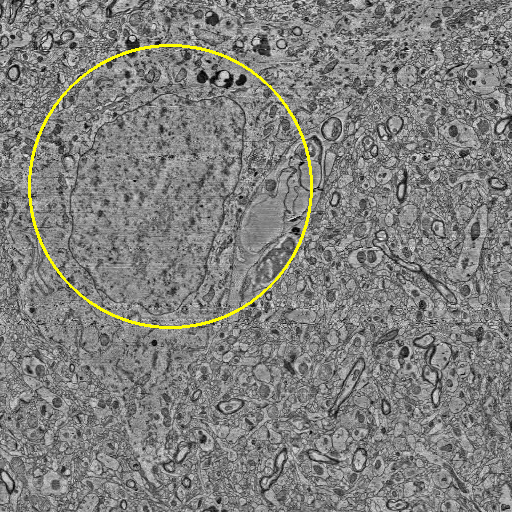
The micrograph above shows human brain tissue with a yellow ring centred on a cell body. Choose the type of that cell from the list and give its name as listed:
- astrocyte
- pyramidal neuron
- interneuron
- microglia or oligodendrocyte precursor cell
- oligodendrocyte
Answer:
pyramidal neuron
